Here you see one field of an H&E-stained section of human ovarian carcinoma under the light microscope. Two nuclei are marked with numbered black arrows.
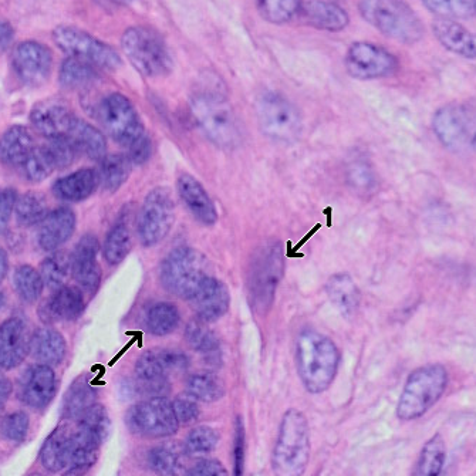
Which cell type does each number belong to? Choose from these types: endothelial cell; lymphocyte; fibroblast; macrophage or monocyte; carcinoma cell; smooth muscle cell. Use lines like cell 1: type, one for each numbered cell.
cell 1: fibroblast
cell 2: carcinoma cell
